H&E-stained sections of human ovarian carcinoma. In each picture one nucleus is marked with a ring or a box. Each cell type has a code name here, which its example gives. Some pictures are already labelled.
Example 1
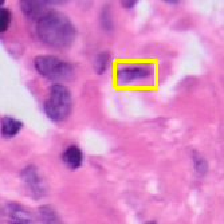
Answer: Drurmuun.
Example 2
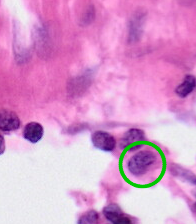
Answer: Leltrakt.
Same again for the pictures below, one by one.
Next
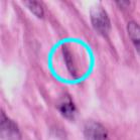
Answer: Drurmuun.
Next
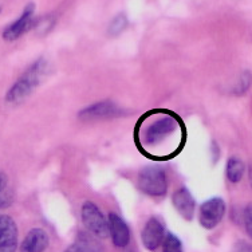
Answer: Leltrakt.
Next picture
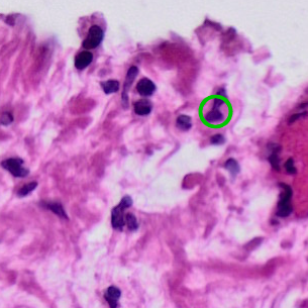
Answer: Leltrakt.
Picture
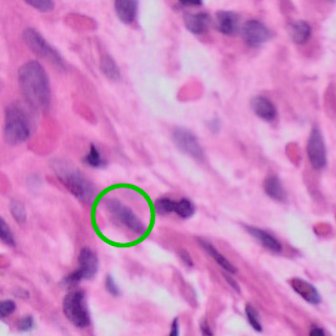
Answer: Drurmuun.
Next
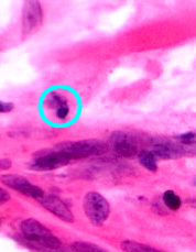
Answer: Leltrakt.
